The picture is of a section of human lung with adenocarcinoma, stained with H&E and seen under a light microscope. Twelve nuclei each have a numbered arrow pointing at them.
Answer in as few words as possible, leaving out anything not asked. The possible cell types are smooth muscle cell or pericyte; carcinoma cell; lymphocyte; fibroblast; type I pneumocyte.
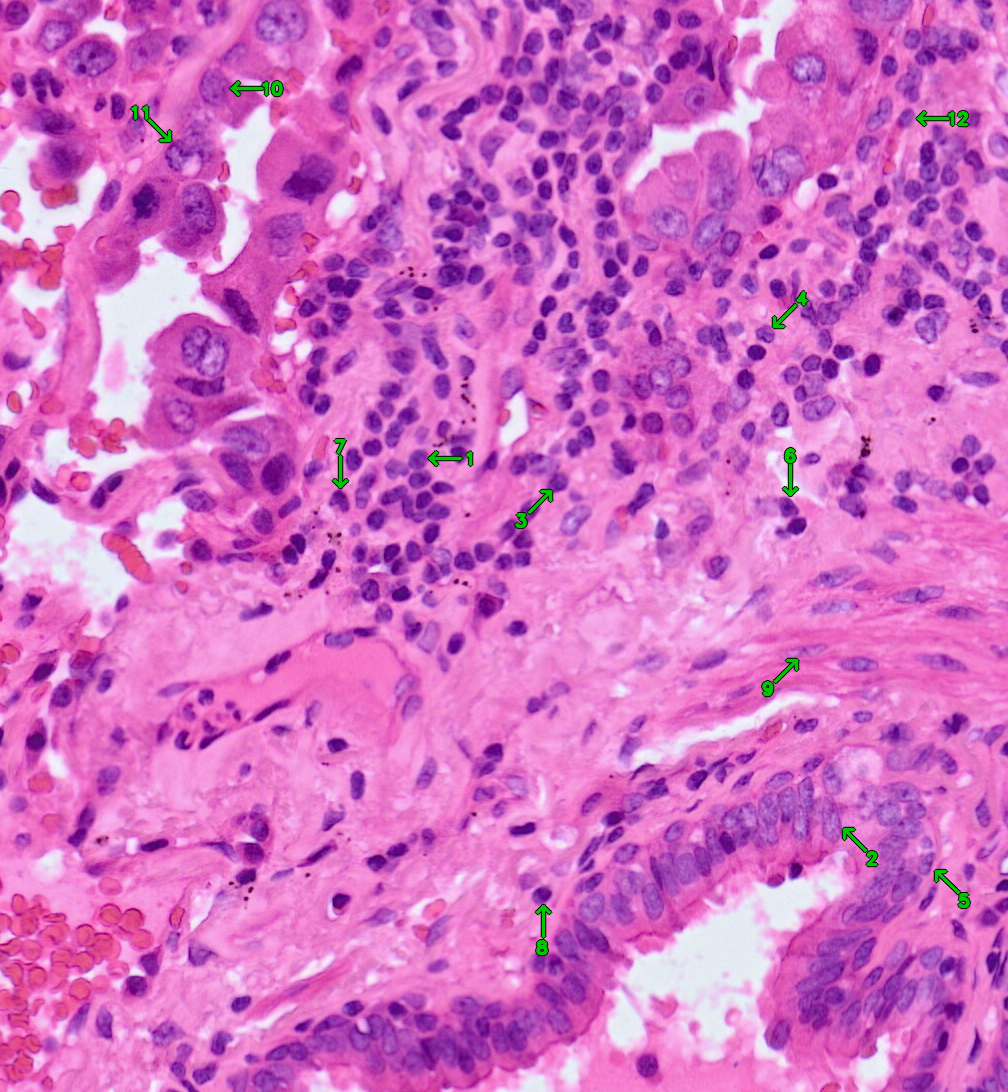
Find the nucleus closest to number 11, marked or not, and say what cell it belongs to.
carcinoma cell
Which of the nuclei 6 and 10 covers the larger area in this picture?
10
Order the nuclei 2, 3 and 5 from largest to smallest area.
2, 3, 5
